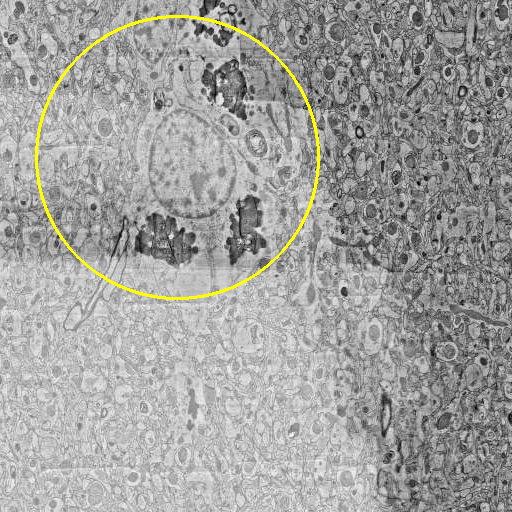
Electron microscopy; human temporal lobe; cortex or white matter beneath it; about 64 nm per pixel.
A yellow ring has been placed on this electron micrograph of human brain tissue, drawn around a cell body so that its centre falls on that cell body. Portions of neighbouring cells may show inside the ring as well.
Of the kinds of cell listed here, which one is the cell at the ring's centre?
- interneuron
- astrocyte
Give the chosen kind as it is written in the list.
astrocyte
